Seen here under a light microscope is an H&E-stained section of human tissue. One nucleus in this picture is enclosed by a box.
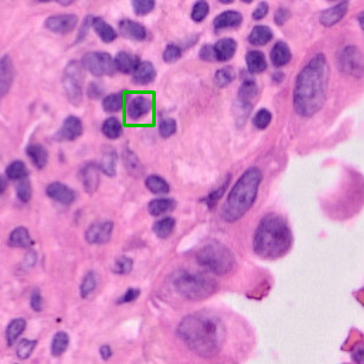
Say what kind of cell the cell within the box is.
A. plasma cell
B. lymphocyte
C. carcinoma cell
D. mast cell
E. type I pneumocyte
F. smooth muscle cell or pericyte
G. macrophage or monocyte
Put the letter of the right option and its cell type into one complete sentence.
Since the cell within the box is a lymphocyte, the right option is B.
